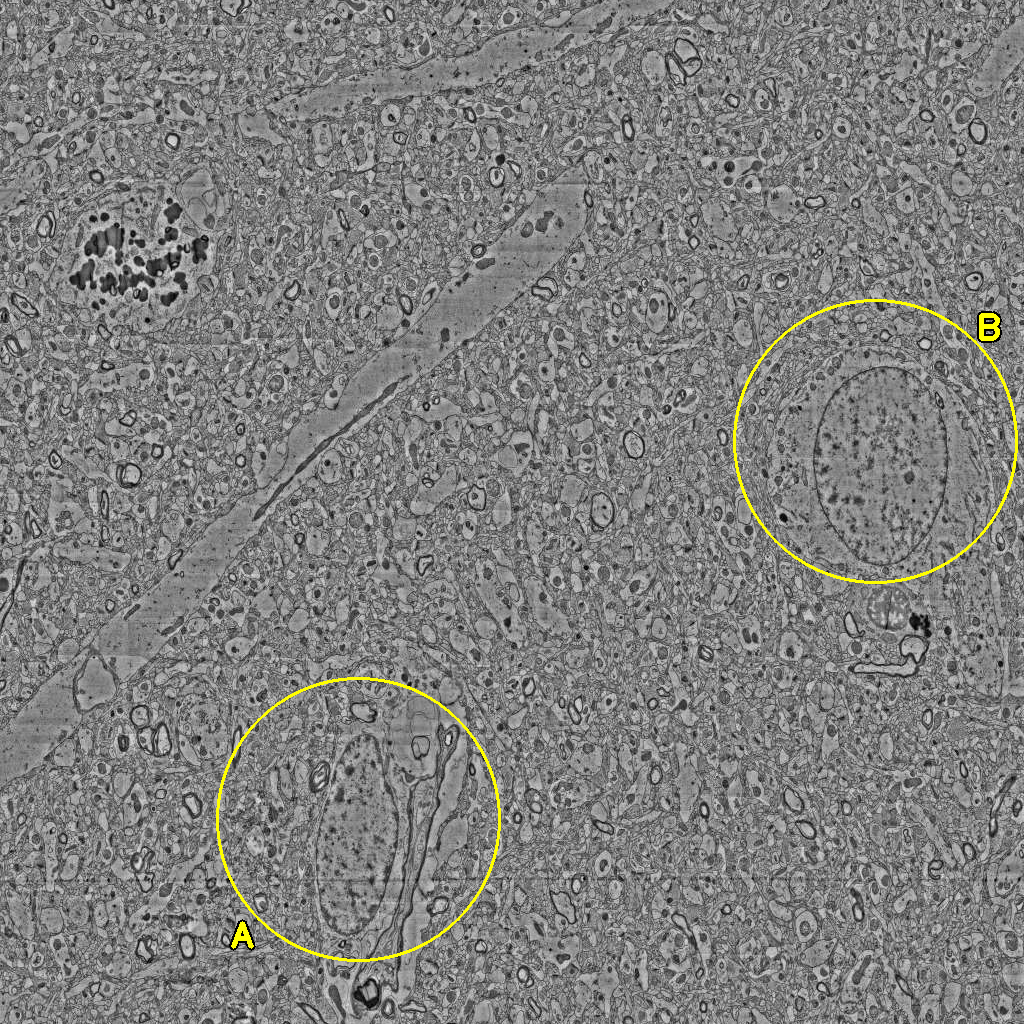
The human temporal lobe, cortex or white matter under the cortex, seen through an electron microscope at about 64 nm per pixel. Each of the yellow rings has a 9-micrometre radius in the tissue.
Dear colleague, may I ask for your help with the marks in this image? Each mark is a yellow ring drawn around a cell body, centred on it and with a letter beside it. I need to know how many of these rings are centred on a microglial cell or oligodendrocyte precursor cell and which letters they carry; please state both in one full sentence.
The single ring that is centred on a microglial cell or oligodendrocyte precursor cell has the letter A beside it.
